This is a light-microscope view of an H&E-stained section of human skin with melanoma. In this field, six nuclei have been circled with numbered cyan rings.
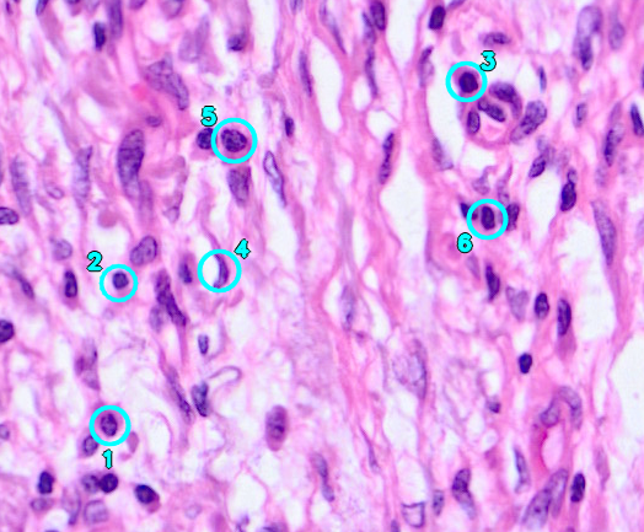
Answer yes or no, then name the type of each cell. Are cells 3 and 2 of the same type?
No, cell 3 should be called a plasma cell, and cell 2 should be called a lymphocyte.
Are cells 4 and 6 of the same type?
No, cell 4 is a fibroblast or myofibroblast, but cell 6 is a plasma cell.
